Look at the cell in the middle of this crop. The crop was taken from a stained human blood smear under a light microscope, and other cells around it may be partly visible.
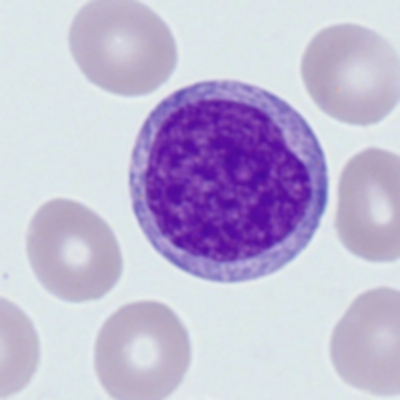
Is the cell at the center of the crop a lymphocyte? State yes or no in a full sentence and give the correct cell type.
No, it is not a lymphocyte that sits at the centre but a myeloblast.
